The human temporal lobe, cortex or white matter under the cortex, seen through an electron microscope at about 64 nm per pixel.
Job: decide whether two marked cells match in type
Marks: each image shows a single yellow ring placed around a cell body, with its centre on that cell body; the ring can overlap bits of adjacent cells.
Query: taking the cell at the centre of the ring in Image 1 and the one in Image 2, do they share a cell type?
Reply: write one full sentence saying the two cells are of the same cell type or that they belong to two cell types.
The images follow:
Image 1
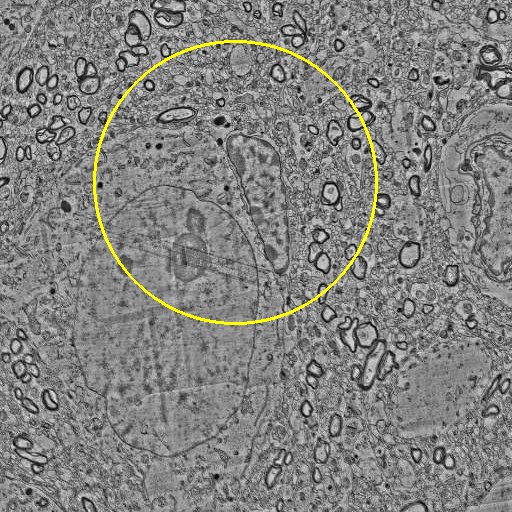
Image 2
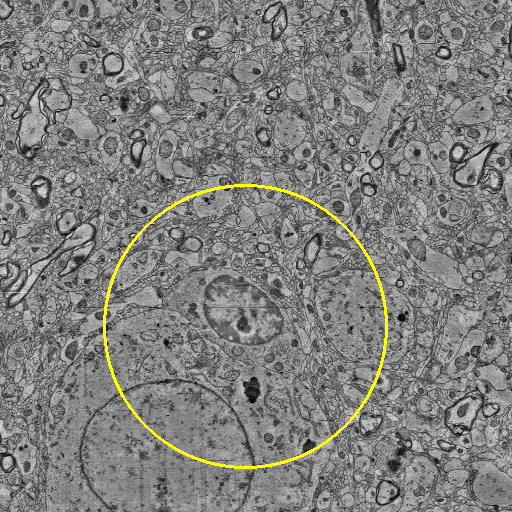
The cells at the ring centres in Image 1 and Image 2 belong to two cell types.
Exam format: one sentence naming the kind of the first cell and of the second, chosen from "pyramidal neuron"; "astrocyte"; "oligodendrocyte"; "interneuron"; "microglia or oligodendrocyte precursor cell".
The first picture's cell is a microglial cell or oligodendrocyte precursor cell, and the second picture's cell is an oligodendrocyte.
